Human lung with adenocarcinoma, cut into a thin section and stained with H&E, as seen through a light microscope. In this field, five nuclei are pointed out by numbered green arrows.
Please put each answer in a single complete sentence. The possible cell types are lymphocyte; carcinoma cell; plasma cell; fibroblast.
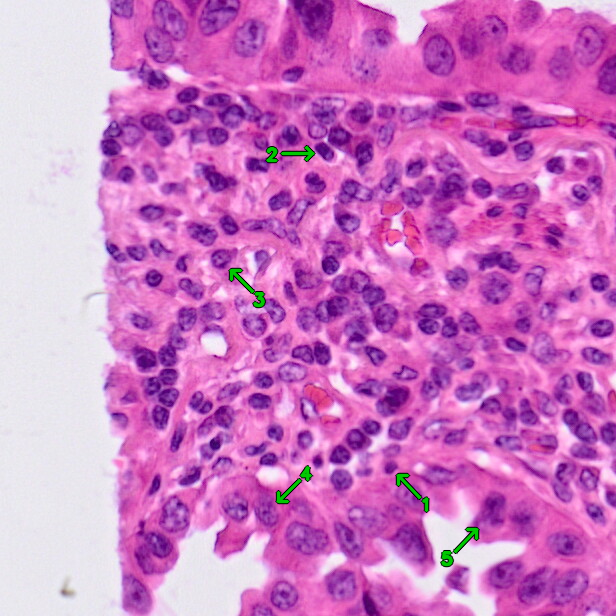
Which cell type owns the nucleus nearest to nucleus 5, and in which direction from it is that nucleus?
Lying to the right of nucleus 5, the nearest nucleus is that of a carcinoma cell.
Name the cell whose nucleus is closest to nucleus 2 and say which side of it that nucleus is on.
The nearest one is a plasma cell, found above and to the right of nucleus 2.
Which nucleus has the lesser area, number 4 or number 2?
The smaller nucleus is 2, and 4 covers roughly 2.5 times its area.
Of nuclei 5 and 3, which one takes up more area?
It is nucleus 5, which covers about 2.5 times the area of nucleus 3.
